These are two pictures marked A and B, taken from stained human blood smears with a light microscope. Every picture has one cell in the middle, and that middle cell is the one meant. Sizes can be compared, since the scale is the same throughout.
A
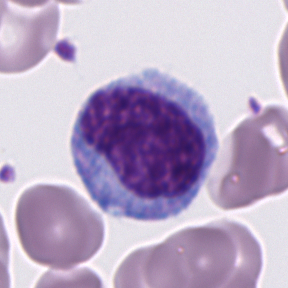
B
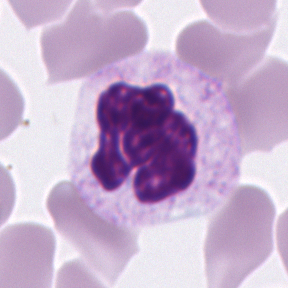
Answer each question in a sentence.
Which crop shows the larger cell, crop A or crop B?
The cell in crop B is larger, with about 1.5 times the area of the one in crop A.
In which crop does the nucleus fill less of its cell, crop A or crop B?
In crop B the nucleus takes up the smaller part of its cell.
